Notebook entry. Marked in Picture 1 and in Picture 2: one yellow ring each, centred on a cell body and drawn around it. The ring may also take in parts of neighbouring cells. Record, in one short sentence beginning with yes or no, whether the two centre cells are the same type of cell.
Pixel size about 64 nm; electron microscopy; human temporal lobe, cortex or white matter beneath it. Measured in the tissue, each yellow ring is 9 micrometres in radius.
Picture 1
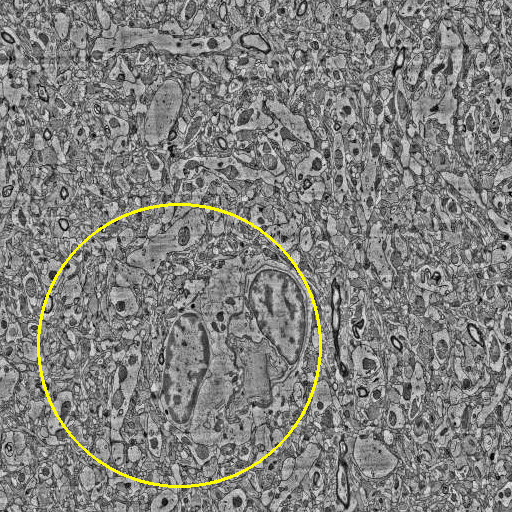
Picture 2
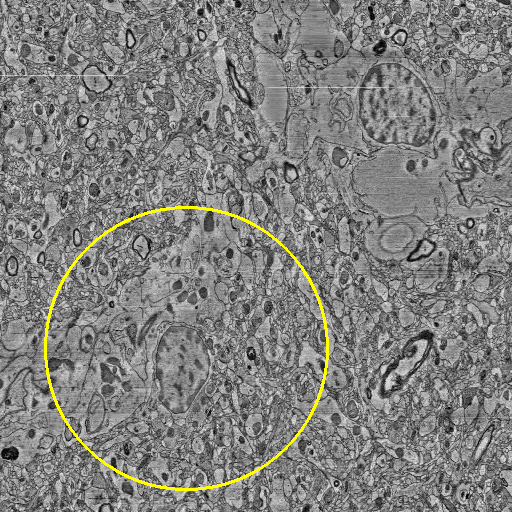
Yes, both are the same type of cell.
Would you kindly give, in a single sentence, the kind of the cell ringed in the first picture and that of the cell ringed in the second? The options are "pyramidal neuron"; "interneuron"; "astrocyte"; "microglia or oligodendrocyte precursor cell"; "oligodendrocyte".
Both cells are the same kind, each one being a microglial cell or oligodendrocyte precursor cell.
